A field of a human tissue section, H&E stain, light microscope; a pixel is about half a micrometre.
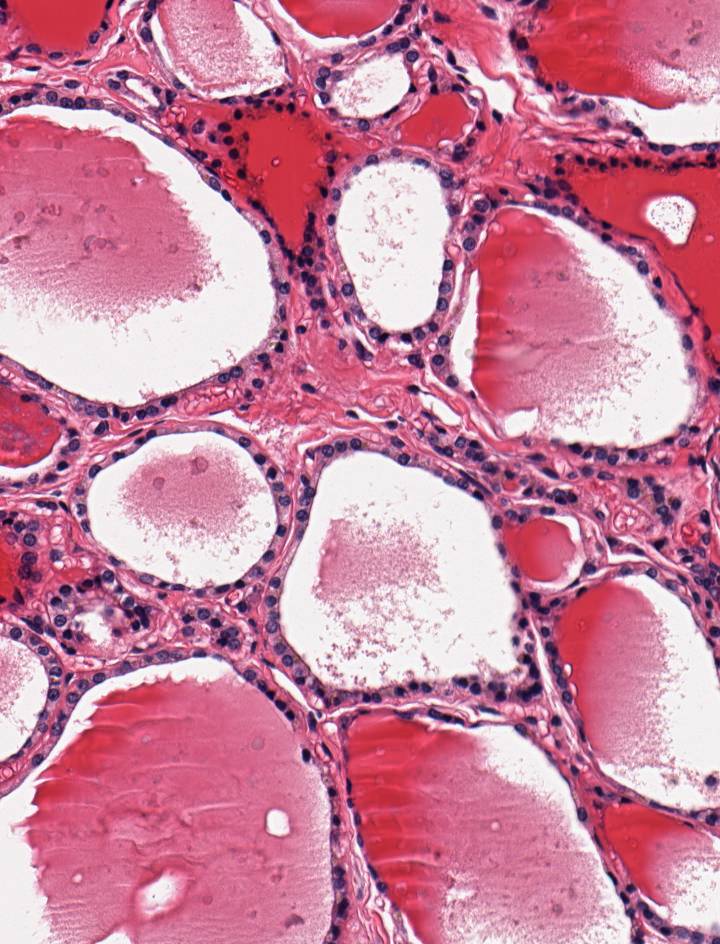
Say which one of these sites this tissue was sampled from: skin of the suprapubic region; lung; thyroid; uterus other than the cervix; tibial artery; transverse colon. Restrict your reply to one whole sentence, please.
The section was prepared from tissue of the thyroid.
